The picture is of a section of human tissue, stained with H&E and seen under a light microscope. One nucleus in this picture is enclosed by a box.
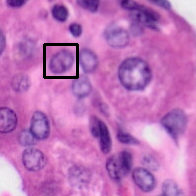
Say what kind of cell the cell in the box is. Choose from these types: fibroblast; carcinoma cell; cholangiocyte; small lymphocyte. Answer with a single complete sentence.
Typologically, the cell in the box is a cholangiocyte in this section.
